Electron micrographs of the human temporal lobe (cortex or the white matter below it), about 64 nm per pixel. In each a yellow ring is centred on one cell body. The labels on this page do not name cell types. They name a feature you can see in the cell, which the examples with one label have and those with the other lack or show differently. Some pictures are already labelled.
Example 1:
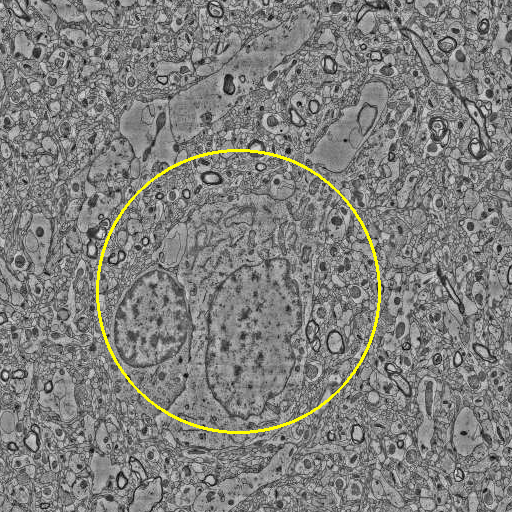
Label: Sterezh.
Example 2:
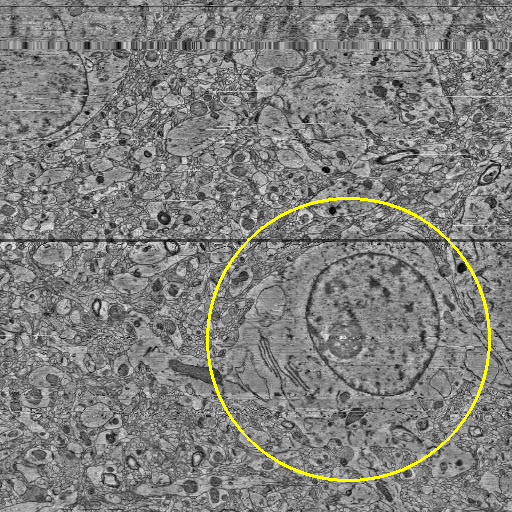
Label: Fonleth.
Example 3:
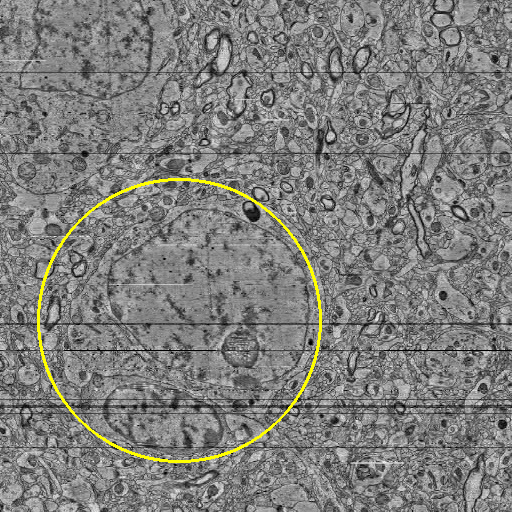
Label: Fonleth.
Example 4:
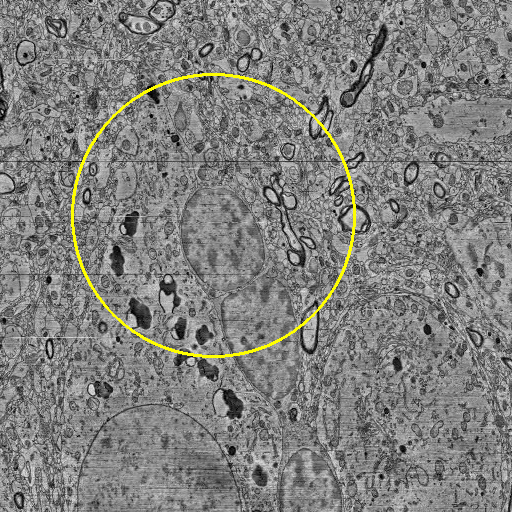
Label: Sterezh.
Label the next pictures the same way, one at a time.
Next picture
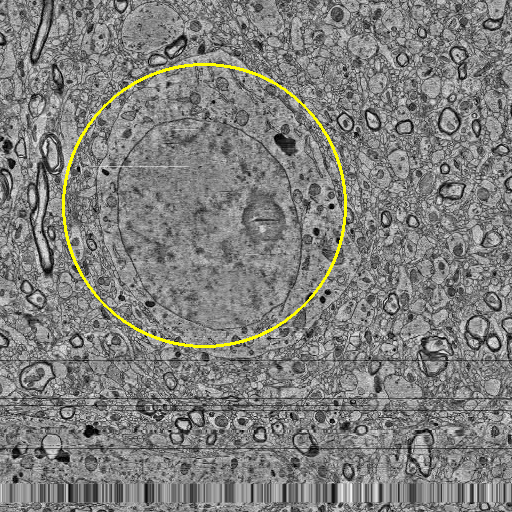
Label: Fonleth.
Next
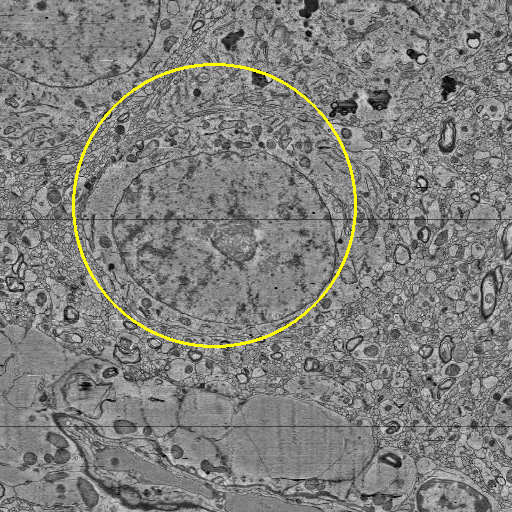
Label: Fonleth.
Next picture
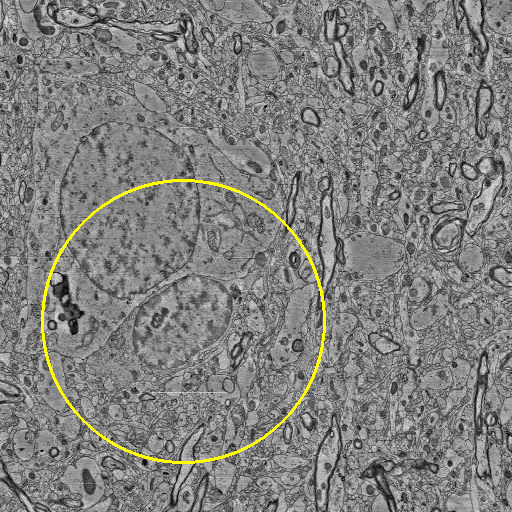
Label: Fonleth.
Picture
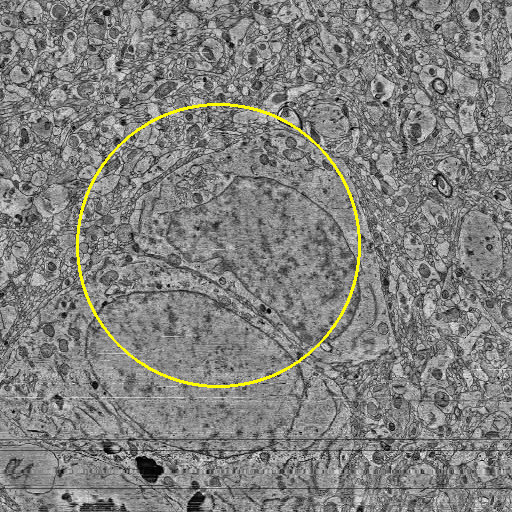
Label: Sterezh.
